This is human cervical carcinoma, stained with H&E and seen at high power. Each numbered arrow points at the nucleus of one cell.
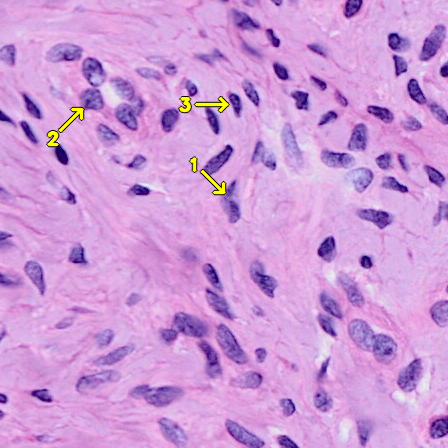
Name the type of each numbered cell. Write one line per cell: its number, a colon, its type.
1: fibroblast
2: endothelial cell
3: fibroblast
